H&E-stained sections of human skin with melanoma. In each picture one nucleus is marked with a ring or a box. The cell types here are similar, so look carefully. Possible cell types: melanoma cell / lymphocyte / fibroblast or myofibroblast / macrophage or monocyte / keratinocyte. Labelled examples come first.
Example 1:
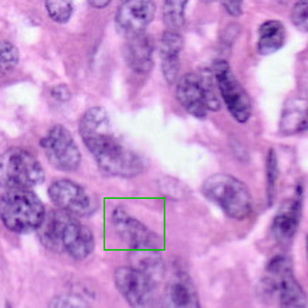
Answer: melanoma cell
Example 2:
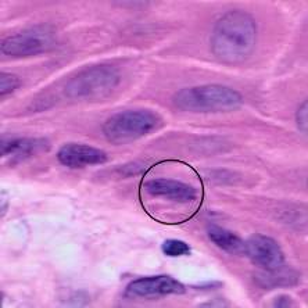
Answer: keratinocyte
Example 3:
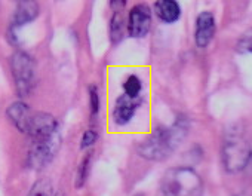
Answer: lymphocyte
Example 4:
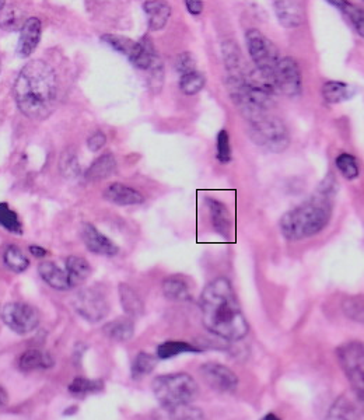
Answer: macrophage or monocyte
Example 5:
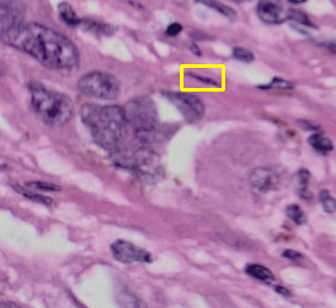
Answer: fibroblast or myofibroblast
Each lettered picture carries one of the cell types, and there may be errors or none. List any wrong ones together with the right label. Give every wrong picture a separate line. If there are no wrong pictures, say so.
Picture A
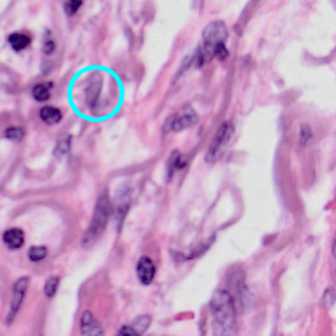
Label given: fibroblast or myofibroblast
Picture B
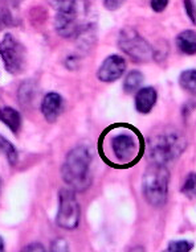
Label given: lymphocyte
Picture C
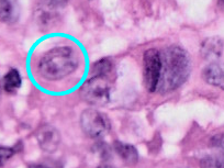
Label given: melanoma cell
No label is wrong.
